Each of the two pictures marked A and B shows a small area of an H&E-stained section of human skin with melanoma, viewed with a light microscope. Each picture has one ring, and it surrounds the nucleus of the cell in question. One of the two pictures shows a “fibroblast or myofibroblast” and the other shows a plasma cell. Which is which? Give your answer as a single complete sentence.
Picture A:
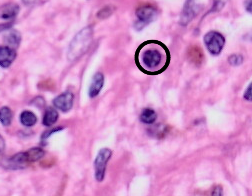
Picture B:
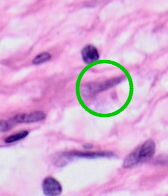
Picture A shows a plasma cell and picture B shows a “fibroblast or myofibroblast”.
